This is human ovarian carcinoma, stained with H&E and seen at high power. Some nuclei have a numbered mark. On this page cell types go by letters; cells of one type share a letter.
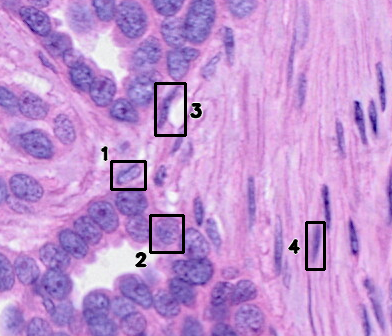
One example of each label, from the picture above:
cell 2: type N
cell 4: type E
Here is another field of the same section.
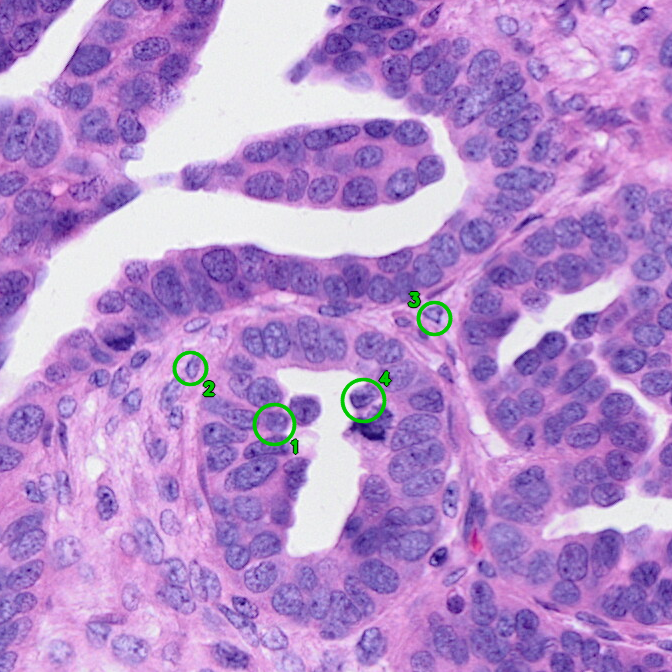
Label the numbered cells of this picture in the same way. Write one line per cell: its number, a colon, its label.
1: type N
2: type E
3: type E
4: type N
